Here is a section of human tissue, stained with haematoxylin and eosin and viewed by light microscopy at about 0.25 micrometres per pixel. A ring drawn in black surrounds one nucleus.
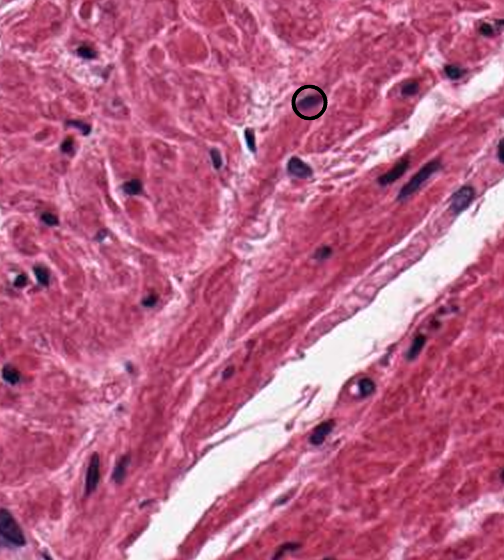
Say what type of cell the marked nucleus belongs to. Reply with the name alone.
smooth muscle cell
